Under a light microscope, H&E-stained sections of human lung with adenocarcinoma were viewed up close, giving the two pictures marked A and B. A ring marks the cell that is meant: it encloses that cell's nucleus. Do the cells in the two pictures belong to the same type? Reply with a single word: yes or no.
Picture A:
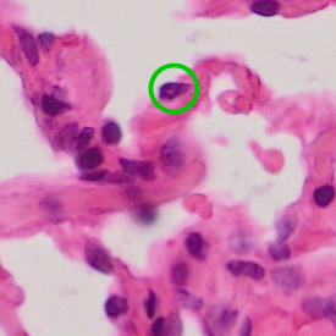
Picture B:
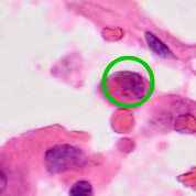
no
